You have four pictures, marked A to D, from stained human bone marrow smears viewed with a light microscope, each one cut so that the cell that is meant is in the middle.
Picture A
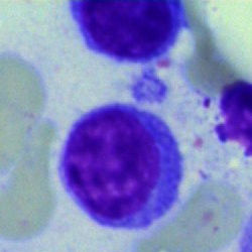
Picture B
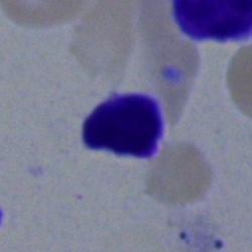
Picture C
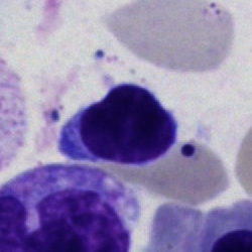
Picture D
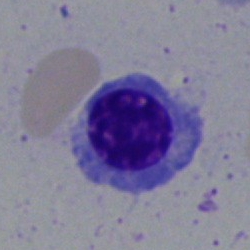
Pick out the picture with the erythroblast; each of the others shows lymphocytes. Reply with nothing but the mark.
D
